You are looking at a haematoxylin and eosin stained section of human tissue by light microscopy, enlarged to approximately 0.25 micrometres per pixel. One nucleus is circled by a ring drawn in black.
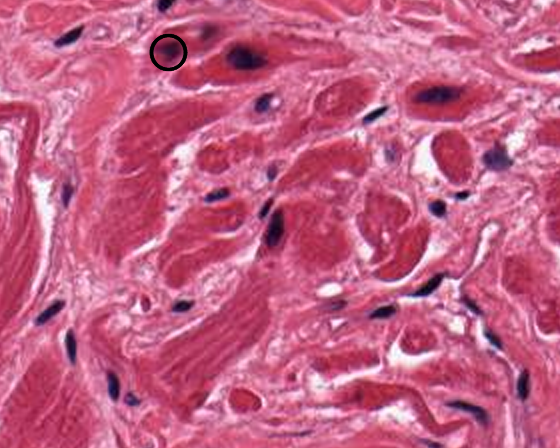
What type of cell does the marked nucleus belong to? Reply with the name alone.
cardiomyocyte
